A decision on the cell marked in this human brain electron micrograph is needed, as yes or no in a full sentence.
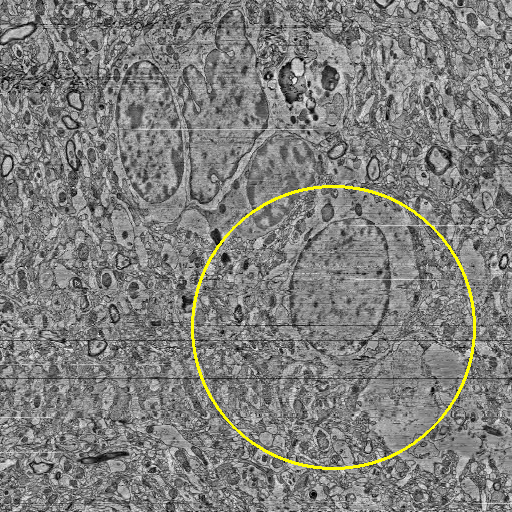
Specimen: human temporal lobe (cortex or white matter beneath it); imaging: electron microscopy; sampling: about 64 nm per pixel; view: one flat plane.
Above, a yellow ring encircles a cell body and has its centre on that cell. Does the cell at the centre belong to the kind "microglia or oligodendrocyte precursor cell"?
No, a different kind fits the cell at the centre of the ring in the picture.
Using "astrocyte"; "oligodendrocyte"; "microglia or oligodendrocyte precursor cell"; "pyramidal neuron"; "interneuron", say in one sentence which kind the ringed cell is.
What the ring is centred on is an astrocyte.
